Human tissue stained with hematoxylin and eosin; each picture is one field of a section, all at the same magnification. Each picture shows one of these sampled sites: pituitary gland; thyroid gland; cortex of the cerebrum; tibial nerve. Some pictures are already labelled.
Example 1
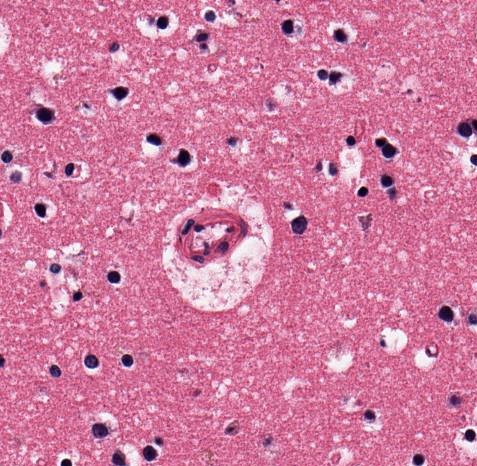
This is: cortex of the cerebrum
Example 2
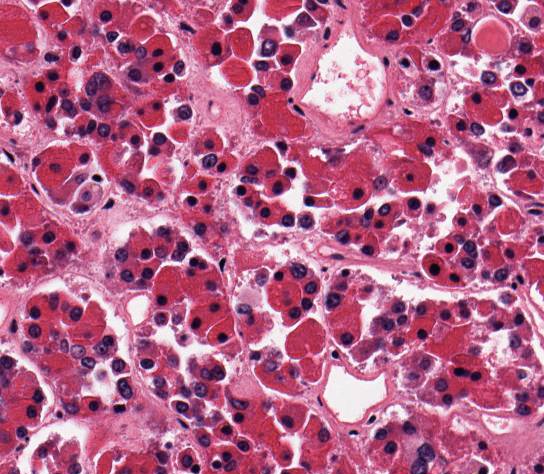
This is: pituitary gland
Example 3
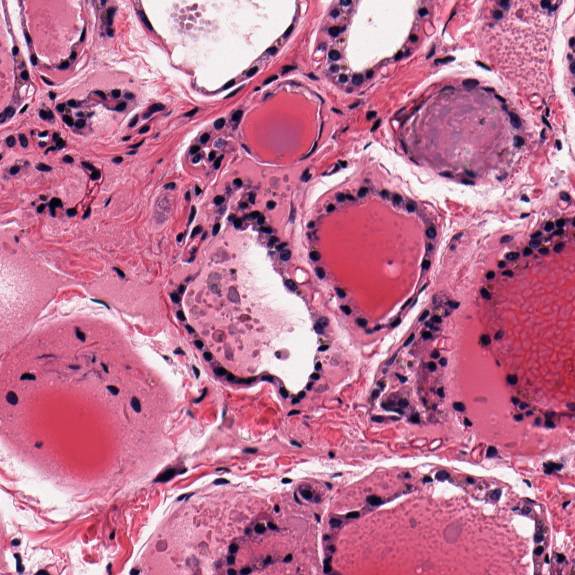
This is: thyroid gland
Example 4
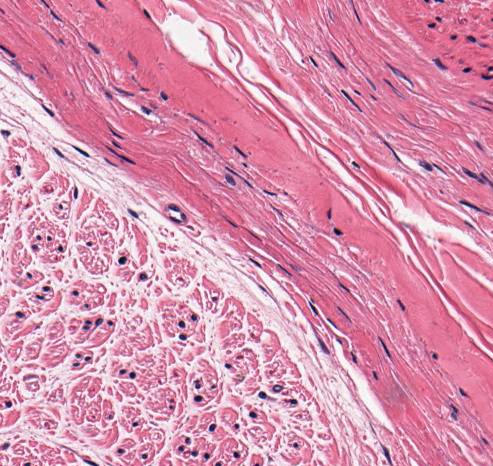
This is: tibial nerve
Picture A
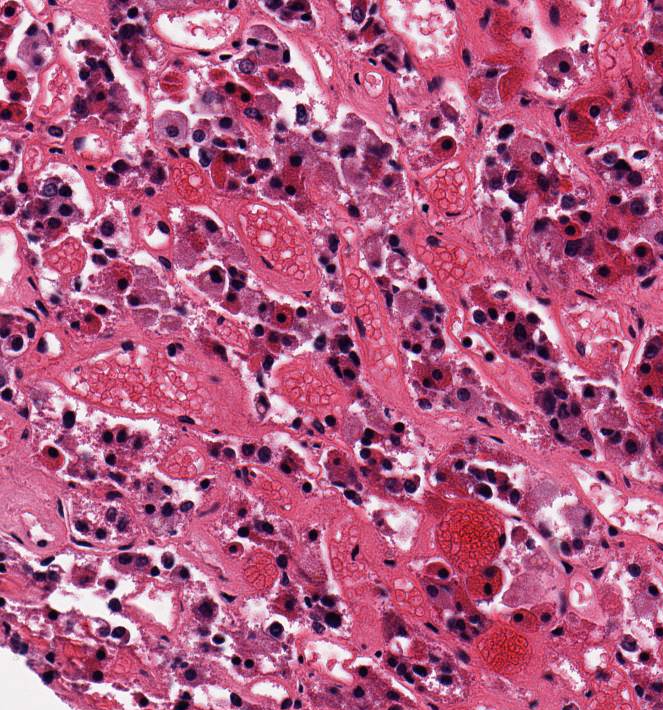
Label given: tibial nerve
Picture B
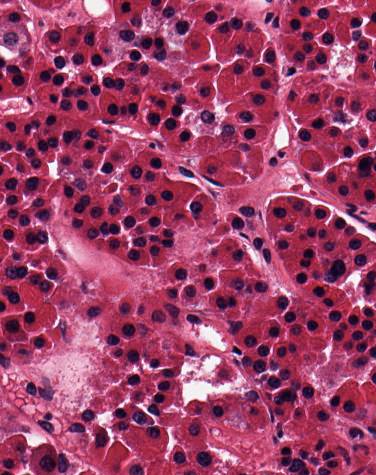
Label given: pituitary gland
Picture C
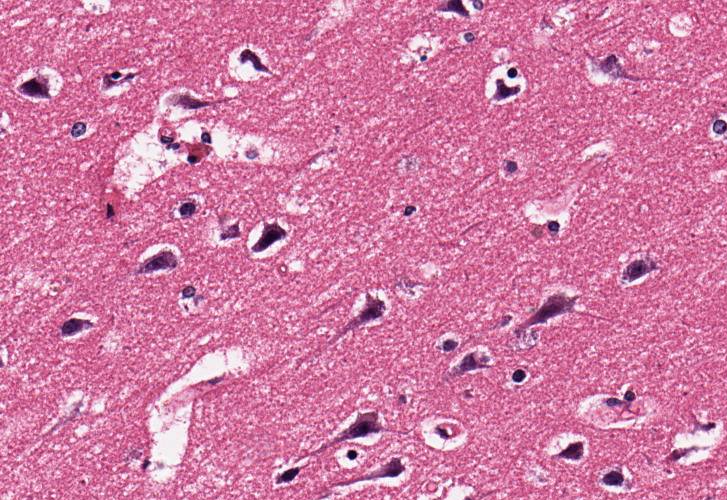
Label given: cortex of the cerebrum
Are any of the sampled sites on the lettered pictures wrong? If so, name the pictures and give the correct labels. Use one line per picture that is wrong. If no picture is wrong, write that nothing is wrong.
A: change tibial nerve to pituitary gland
